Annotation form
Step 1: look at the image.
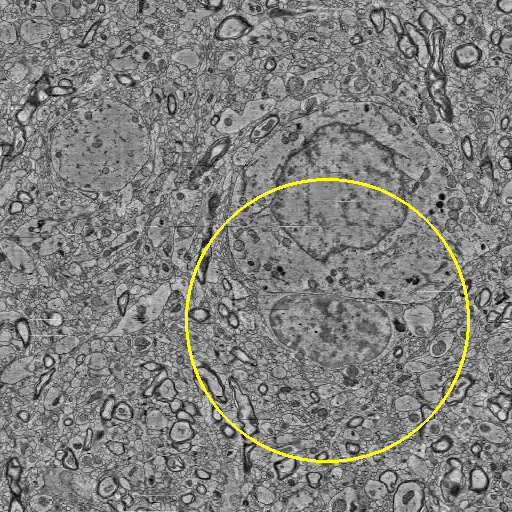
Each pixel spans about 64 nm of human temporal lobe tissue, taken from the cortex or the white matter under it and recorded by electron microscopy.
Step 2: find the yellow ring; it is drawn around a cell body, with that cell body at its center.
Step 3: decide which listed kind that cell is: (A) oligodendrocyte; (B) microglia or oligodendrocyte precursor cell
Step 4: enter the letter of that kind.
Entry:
A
